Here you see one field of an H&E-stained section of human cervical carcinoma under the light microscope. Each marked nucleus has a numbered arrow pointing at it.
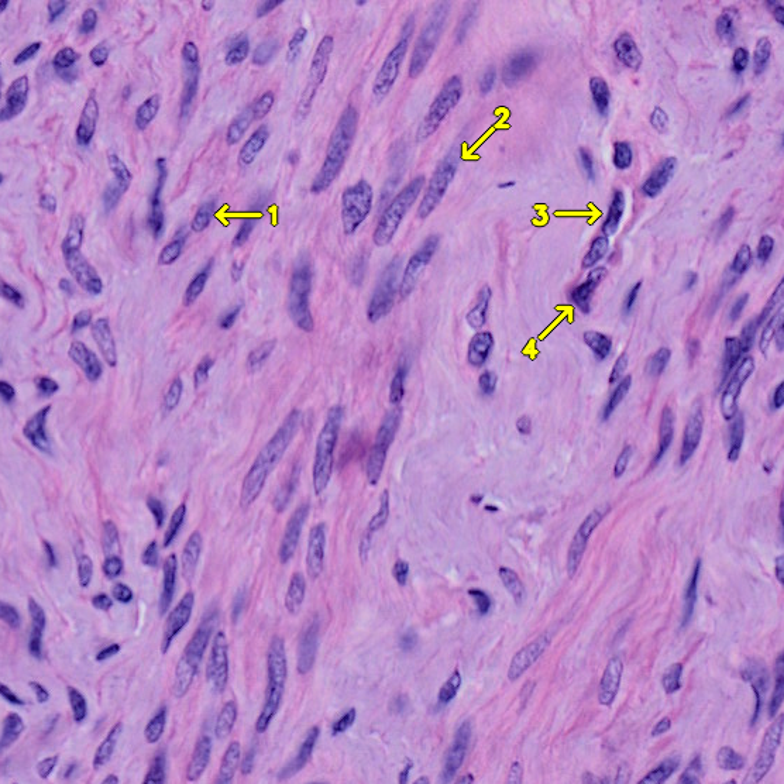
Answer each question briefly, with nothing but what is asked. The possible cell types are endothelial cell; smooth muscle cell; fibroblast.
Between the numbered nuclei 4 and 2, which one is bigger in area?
2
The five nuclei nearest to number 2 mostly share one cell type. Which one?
smooth muscle cell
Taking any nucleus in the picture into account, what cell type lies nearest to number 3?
endothelial cell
